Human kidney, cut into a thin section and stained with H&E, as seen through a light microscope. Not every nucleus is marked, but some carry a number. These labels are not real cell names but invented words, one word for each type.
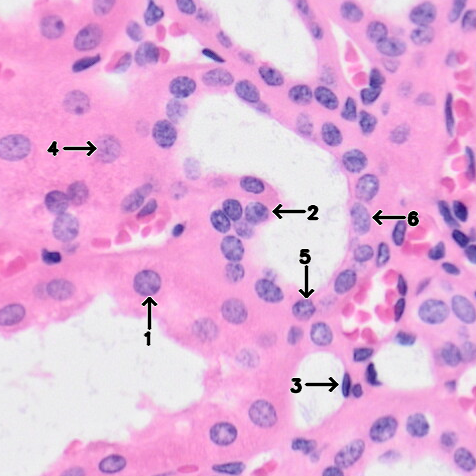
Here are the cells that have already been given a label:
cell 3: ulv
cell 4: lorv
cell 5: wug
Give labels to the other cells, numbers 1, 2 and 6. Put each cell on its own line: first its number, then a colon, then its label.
1: lorv
2: wug
6: wug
